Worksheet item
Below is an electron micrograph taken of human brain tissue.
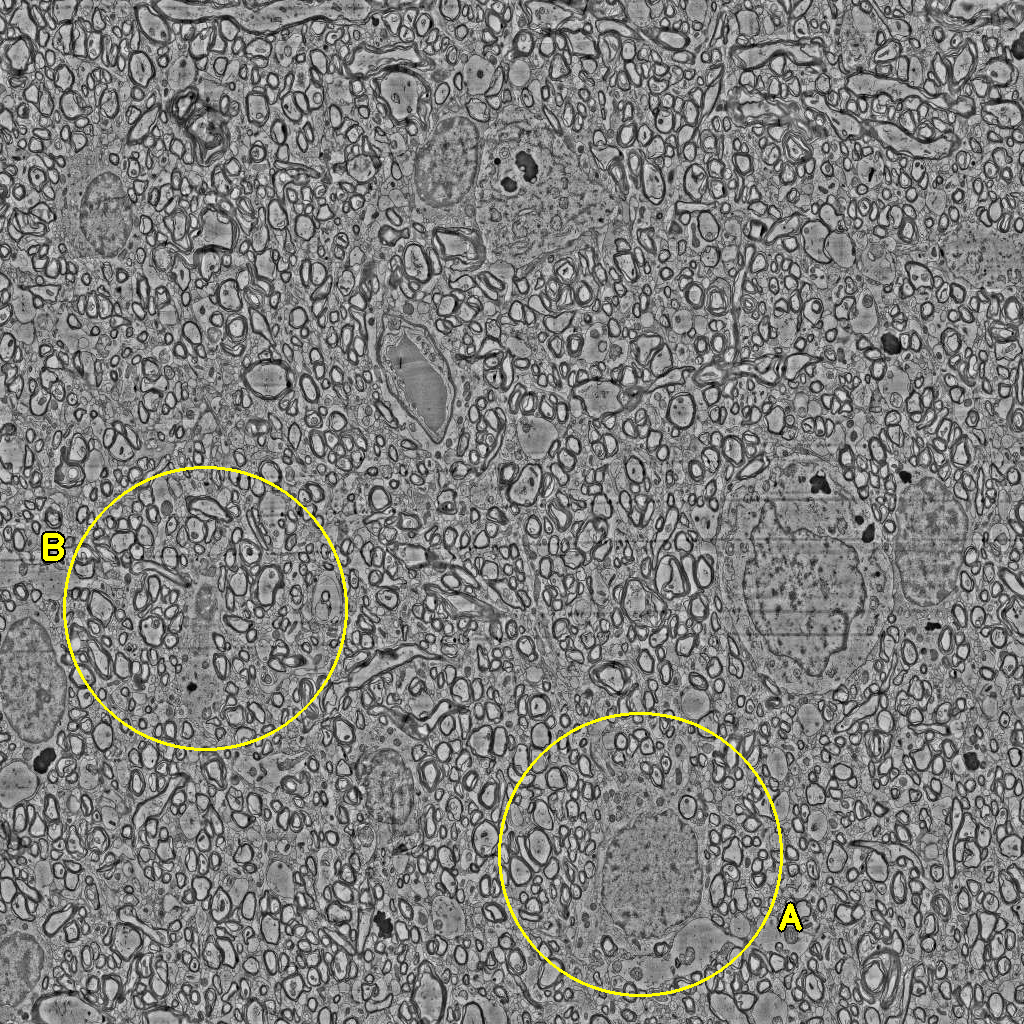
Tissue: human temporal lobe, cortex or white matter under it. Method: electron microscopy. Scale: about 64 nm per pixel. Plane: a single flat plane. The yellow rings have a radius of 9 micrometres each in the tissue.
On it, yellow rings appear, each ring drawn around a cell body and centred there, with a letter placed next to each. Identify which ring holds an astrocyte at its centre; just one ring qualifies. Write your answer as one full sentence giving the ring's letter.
Ring A has the cell asked for right at its centre in the picture.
